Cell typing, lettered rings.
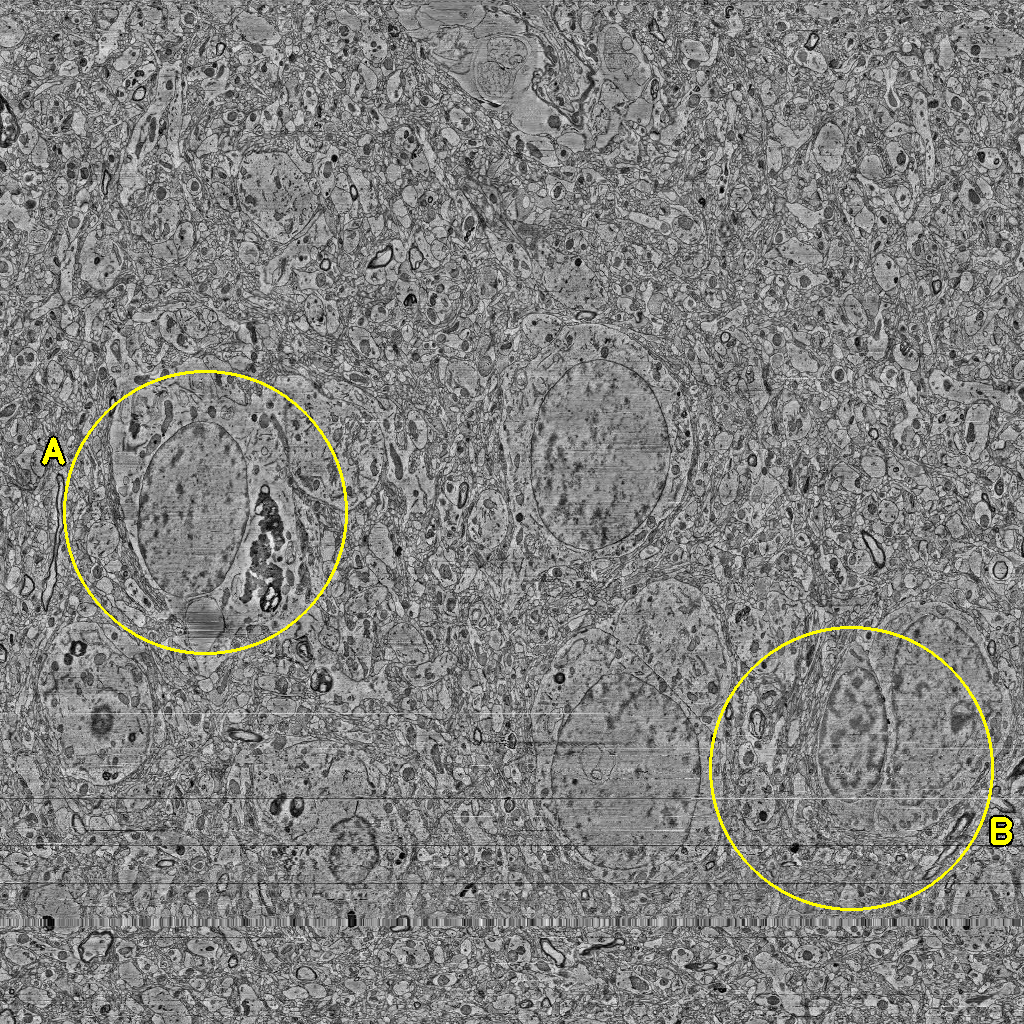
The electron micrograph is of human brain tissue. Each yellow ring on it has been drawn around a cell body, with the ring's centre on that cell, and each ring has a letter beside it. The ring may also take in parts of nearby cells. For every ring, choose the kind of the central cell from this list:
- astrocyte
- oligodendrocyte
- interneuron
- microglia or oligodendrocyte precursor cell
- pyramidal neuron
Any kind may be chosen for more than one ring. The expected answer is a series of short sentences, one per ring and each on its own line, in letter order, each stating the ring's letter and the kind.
For ring A, the centred cell is an astrocyte.
For ring B, the centred cell is an oligodendrocyte.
